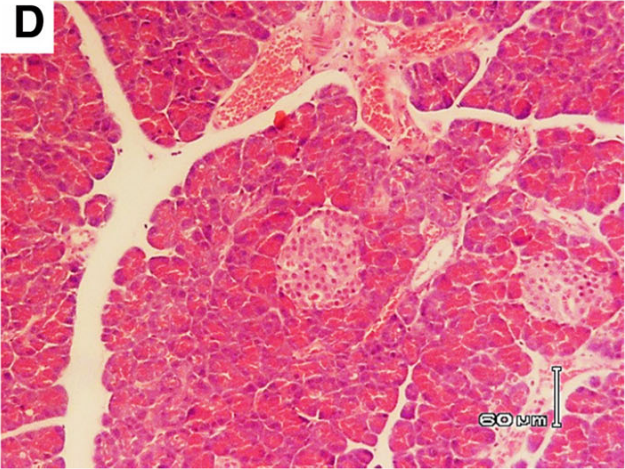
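This section of pancreas shows rounded pale islets embedded among deep pink exocrine acini. The acini are made of cells with pink cytoplasm and purple nuclei, grouped into lobules separated by clear clefts. The islets are oval, pale areas of smaller cells with round dark nuclei, clearly bounded from the acini. At the top of the field, blood vessels filled with red blood cells lie within the clear connective tissue between lobules.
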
